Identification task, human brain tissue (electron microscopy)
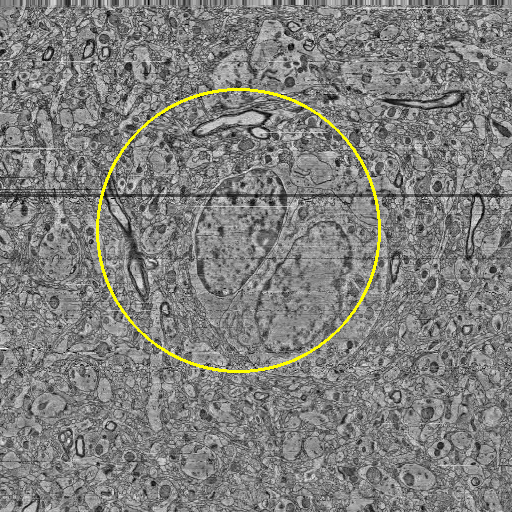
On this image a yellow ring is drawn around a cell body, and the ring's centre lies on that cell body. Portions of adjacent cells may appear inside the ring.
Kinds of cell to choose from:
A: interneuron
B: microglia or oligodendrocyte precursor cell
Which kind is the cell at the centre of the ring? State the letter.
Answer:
B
